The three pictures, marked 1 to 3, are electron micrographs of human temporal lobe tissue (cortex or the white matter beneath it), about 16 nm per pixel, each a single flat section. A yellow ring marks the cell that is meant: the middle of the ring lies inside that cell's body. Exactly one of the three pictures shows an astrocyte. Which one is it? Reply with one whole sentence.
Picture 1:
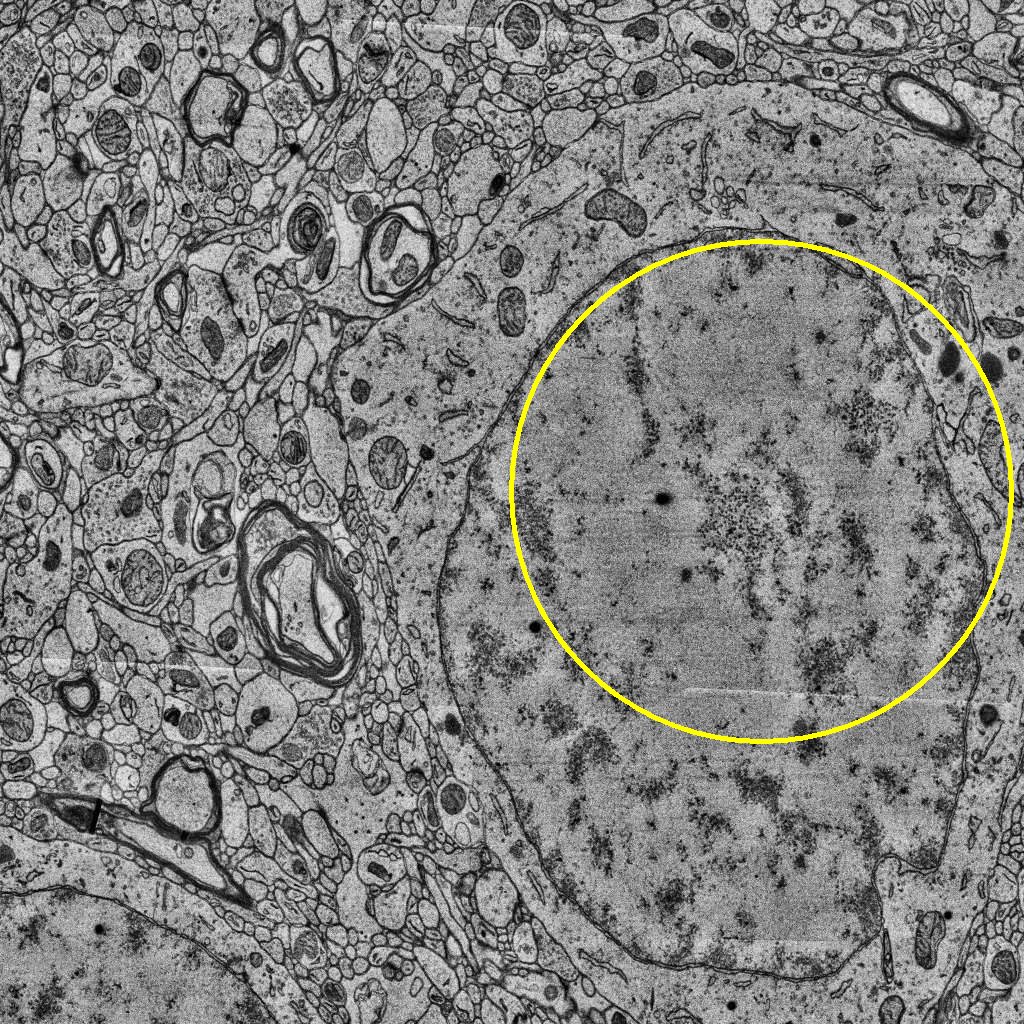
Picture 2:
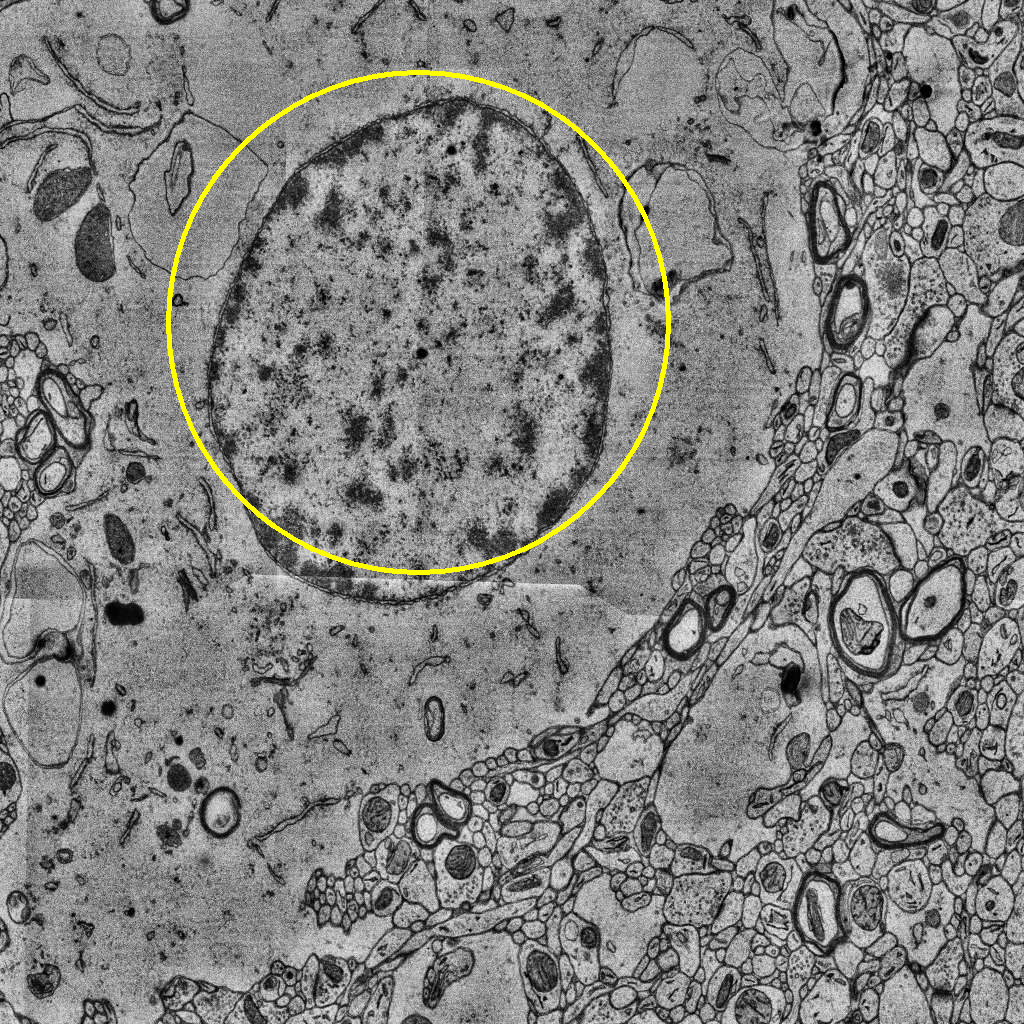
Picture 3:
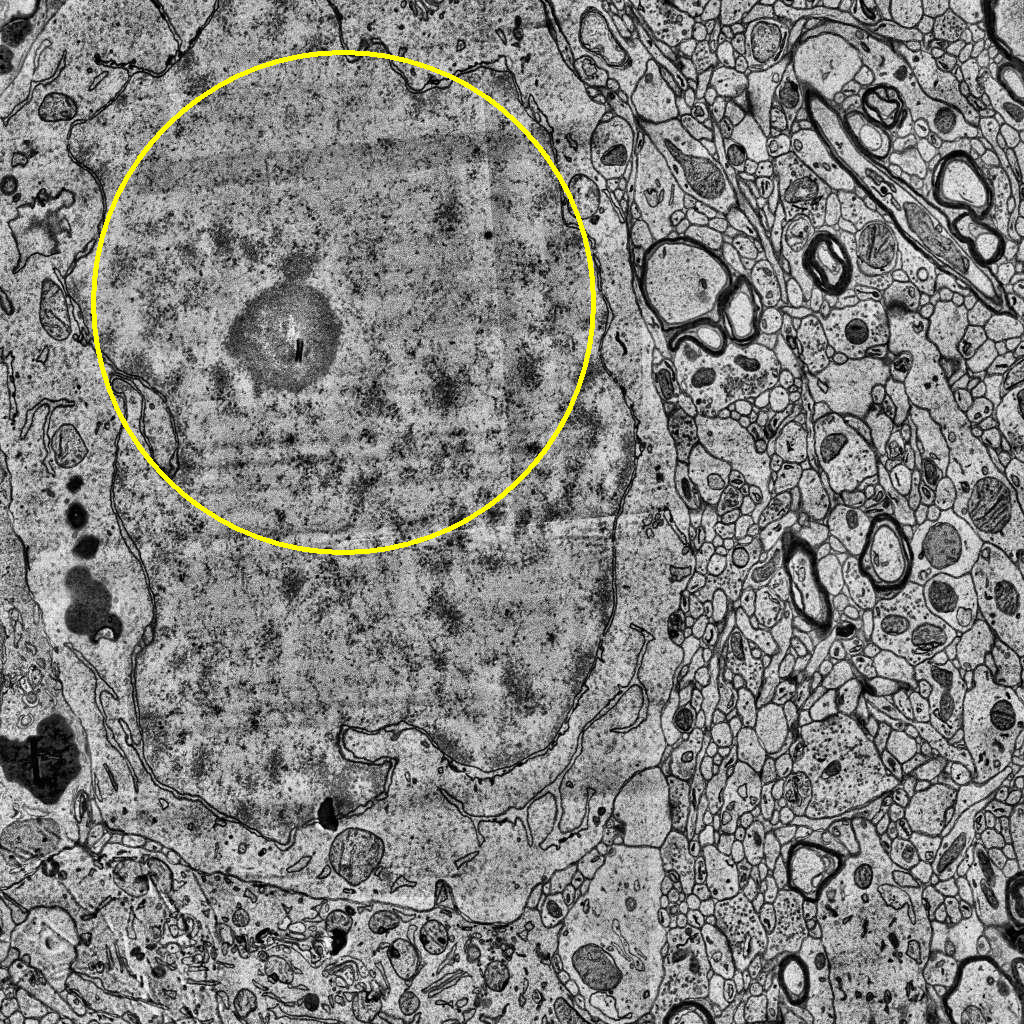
The cell in picture 2 is the astrocyte.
